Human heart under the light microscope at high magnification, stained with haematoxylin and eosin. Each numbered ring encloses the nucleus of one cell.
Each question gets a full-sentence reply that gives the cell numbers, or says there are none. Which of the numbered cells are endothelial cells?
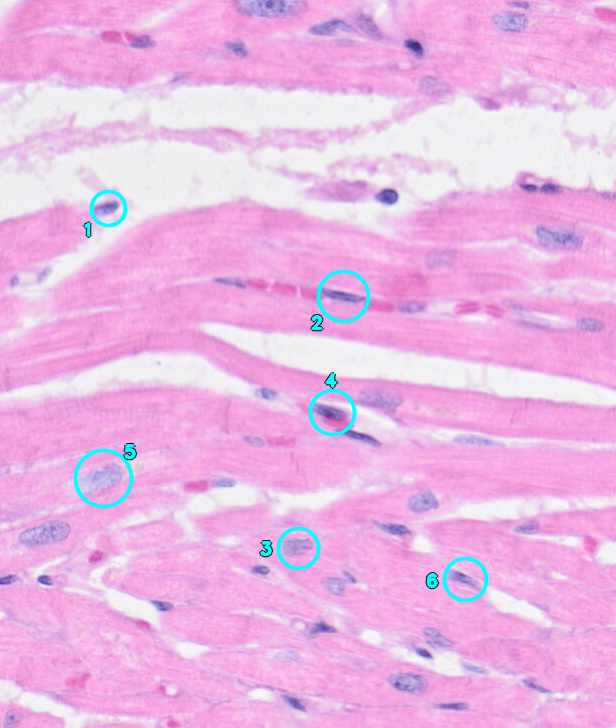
In this section, the cells labelled 2, 4 and 6 are endothelial cells.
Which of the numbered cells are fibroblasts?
Only number 1 of the marked cells is a fibroblast.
